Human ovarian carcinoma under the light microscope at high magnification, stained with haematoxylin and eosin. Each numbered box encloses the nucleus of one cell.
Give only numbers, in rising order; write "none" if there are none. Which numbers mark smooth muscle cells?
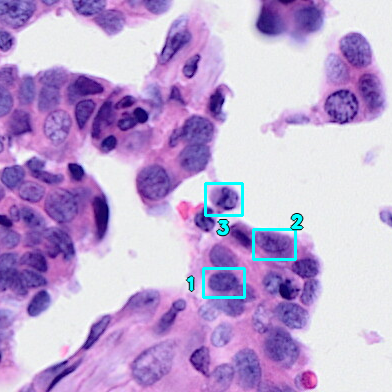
none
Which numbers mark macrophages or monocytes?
3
